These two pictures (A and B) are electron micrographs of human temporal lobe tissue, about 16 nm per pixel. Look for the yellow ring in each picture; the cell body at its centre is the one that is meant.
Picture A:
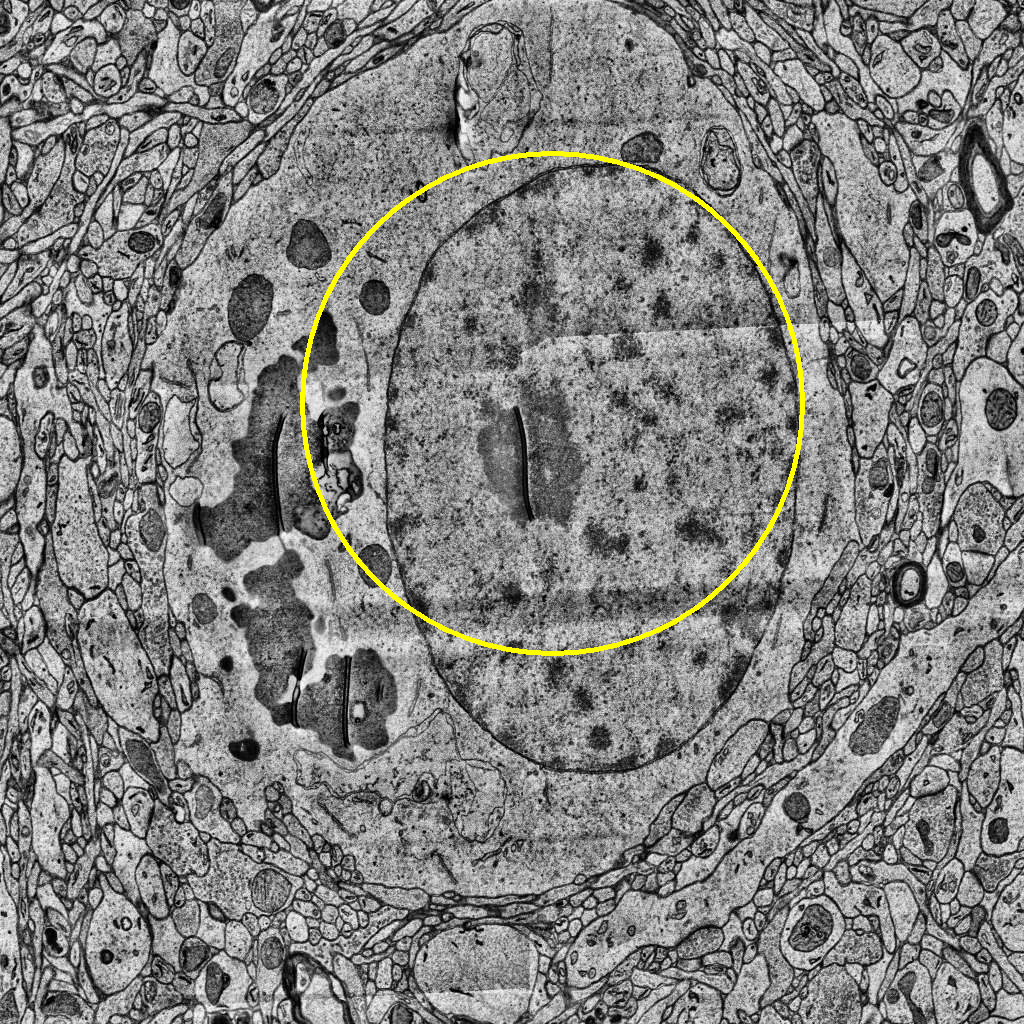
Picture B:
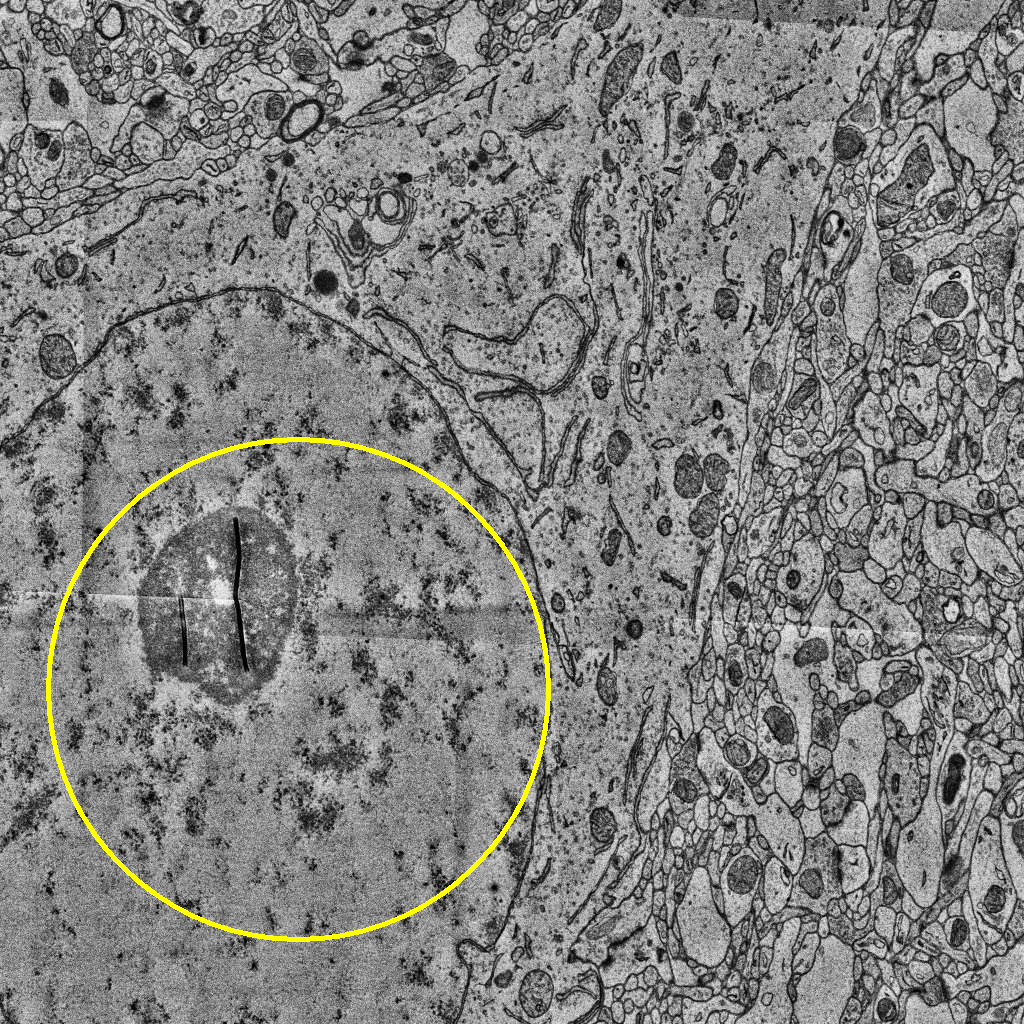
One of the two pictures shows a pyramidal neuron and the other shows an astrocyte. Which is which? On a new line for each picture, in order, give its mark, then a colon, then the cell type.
A: astrocyte
B: pyramidal neuron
